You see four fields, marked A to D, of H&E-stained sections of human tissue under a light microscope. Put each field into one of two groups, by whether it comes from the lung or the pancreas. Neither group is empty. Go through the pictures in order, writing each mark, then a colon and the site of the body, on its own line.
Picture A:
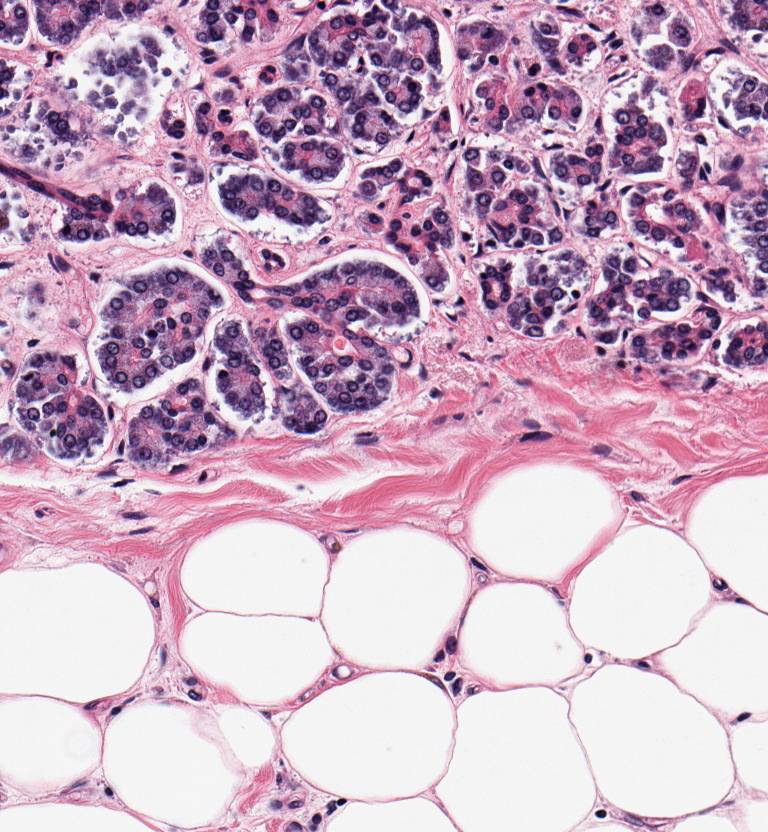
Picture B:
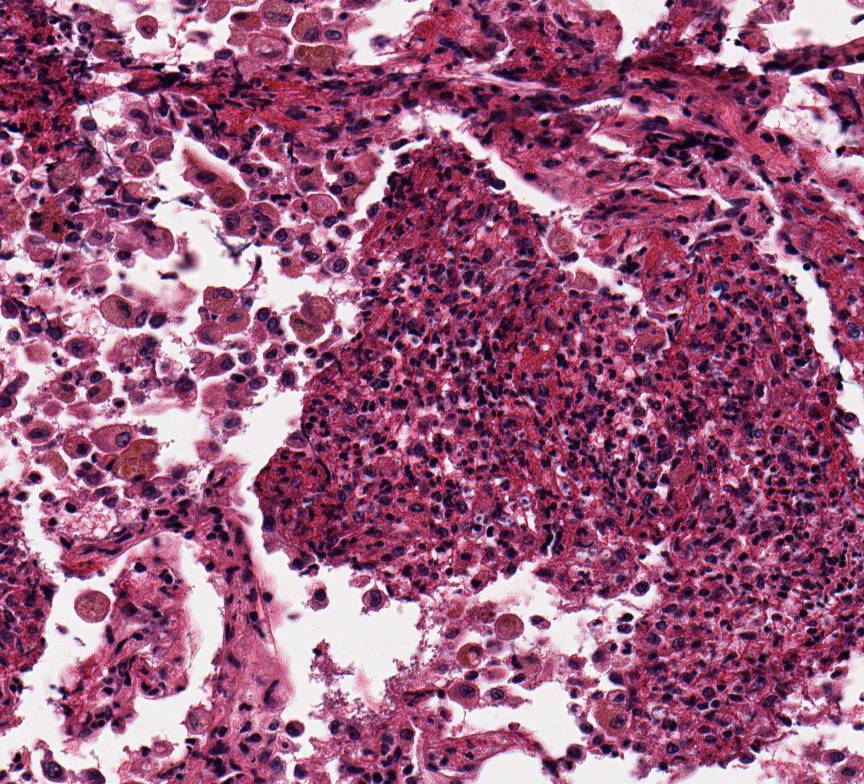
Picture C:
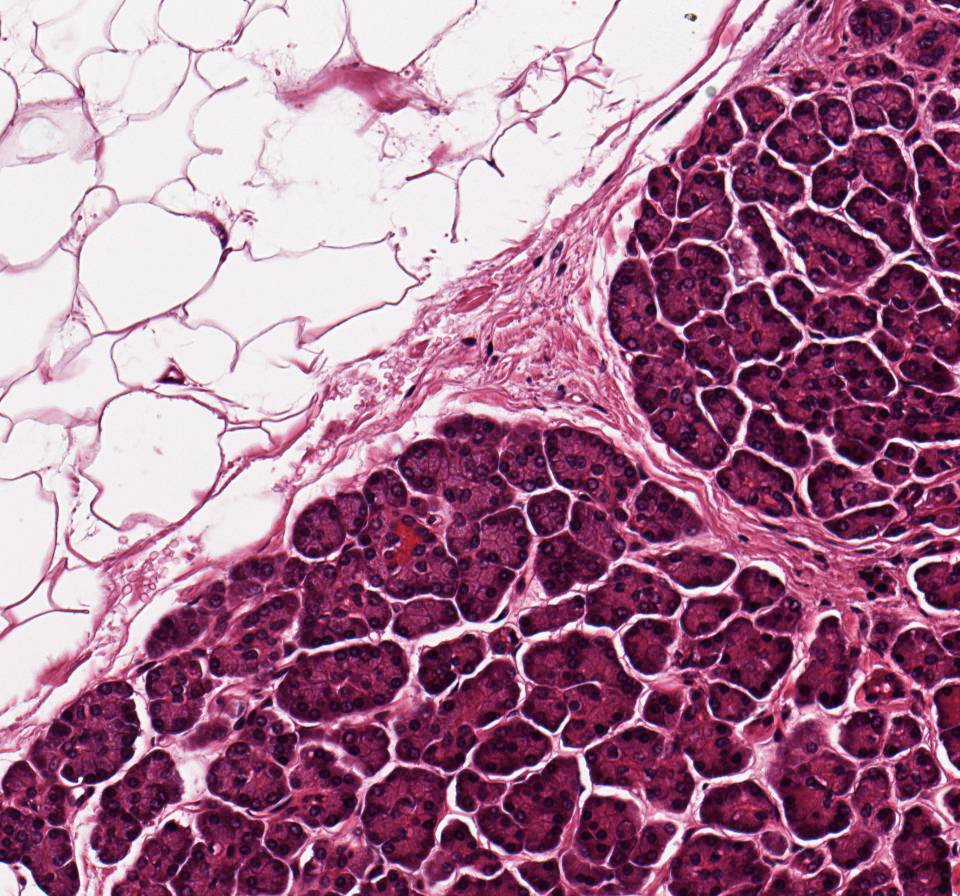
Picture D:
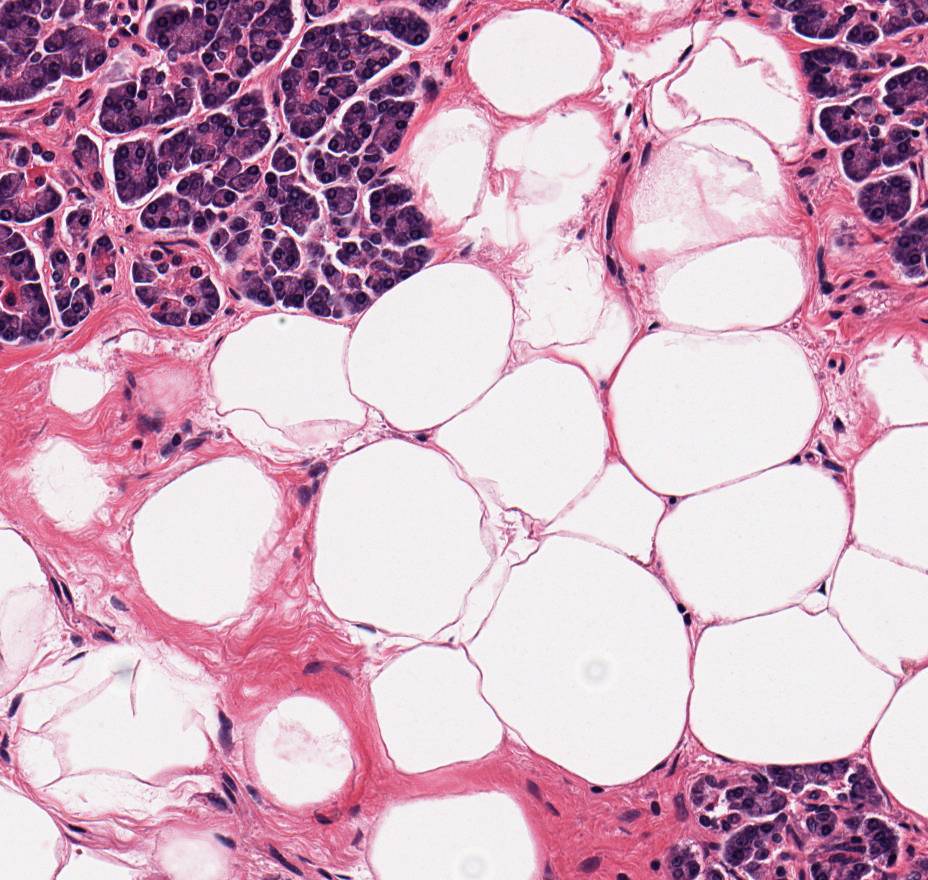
A: pancreas
B: lung
C: pancreas
D: pancreas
